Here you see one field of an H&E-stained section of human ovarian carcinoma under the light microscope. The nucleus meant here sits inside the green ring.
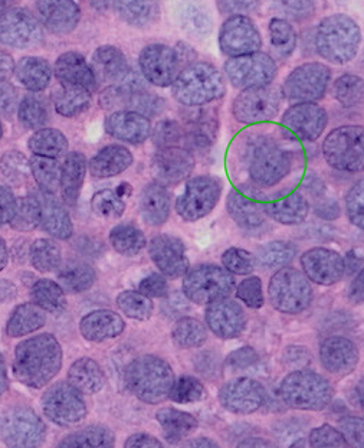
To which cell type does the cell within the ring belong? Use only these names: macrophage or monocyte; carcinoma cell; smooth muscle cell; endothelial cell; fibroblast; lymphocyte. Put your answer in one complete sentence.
Recorded by type, the cell within the ring is a carcinoma cell.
